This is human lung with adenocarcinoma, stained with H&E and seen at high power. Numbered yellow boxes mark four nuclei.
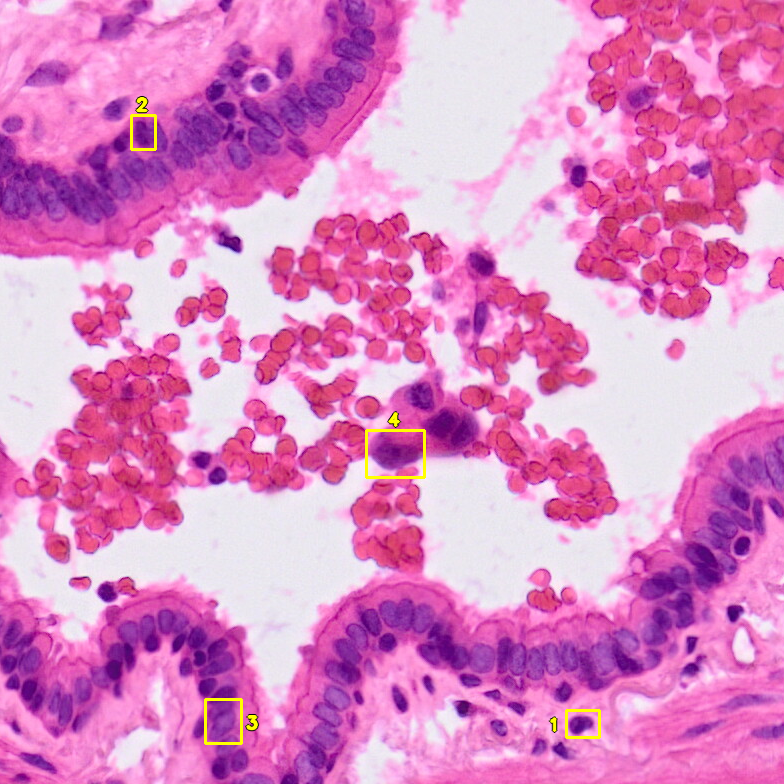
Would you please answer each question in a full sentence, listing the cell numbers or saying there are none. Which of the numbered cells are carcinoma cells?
Among all the marked cells, a carcinoma cell is found only at number 4.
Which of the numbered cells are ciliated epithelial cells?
The cells numbered 2 and 3 are typed as ciliated epithelial cells.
